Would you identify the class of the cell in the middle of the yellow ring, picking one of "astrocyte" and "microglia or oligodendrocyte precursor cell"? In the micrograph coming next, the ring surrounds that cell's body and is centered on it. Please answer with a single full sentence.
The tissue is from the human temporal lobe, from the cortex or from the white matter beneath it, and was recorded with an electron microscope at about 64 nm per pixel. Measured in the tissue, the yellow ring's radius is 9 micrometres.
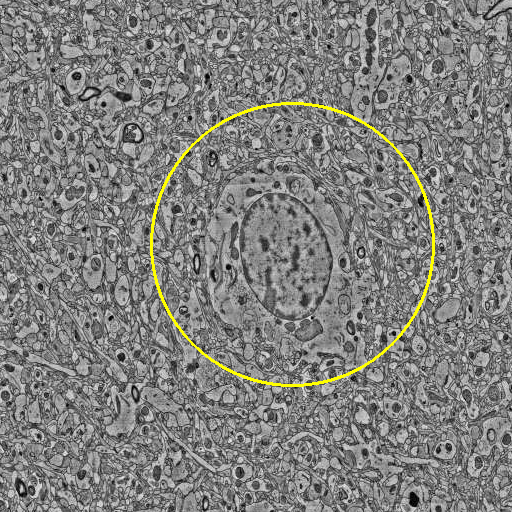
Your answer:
In the micrograph, it is an astrocyte whose body lies at the ring's center.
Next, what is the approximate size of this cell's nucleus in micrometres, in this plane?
The nucleus has a long axis of about 8 micrometres and a short axis of about 6 micrometres in this plane.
